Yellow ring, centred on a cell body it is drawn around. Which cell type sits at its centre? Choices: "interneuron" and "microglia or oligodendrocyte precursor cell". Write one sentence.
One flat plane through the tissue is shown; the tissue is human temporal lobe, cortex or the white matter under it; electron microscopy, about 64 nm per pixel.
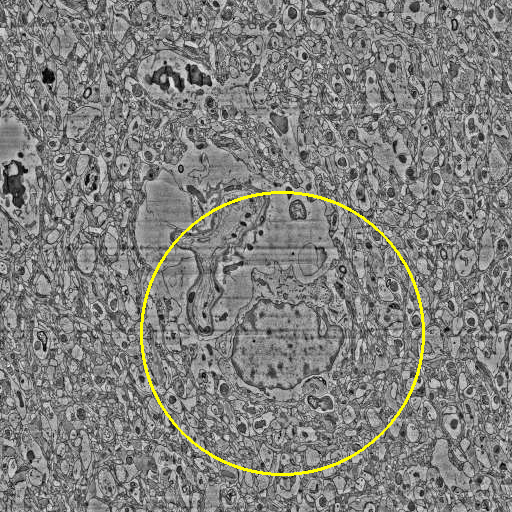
At the centre of the ring sits a microglial cell or oligodendrocyte precursor cell.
